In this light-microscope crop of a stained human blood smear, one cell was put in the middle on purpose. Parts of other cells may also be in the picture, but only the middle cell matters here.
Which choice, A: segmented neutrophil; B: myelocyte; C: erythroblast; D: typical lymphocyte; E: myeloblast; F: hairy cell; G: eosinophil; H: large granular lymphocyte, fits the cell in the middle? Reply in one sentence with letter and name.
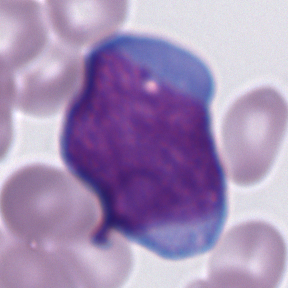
In the middle of the crop is a myeloblast; option E is therefore correct.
